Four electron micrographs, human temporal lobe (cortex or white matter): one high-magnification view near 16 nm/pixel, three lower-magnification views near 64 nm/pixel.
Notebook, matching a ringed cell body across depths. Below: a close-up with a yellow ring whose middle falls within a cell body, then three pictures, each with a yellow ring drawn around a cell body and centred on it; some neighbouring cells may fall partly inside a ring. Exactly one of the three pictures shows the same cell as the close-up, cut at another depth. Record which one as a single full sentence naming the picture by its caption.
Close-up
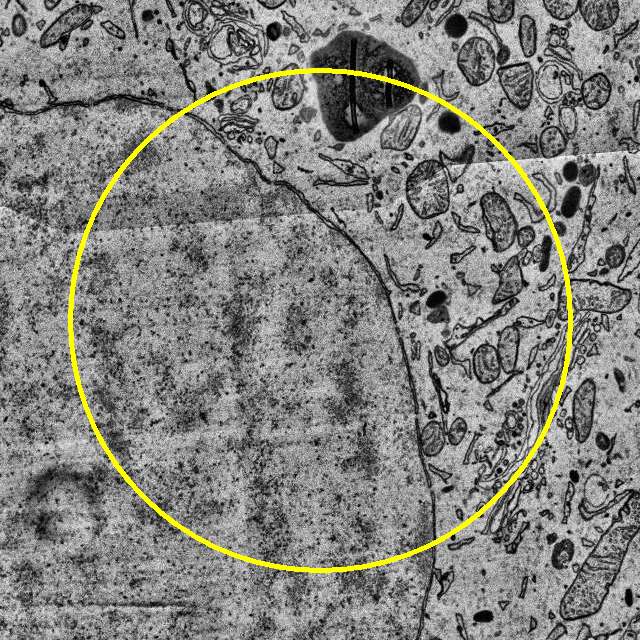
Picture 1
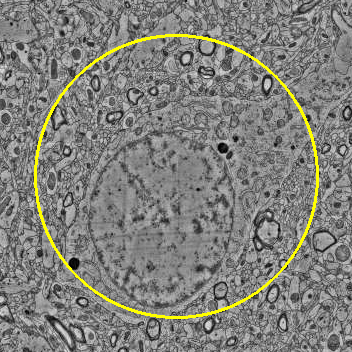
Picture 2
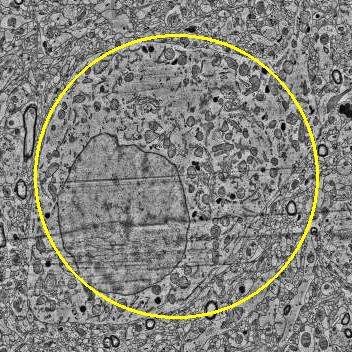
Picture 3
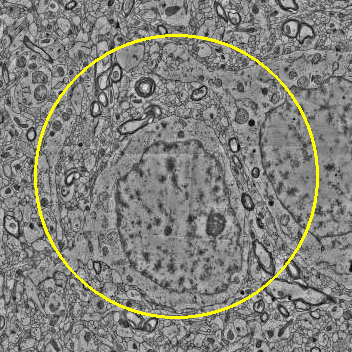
The close-up corresponds to the marked cell in Picture 2.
